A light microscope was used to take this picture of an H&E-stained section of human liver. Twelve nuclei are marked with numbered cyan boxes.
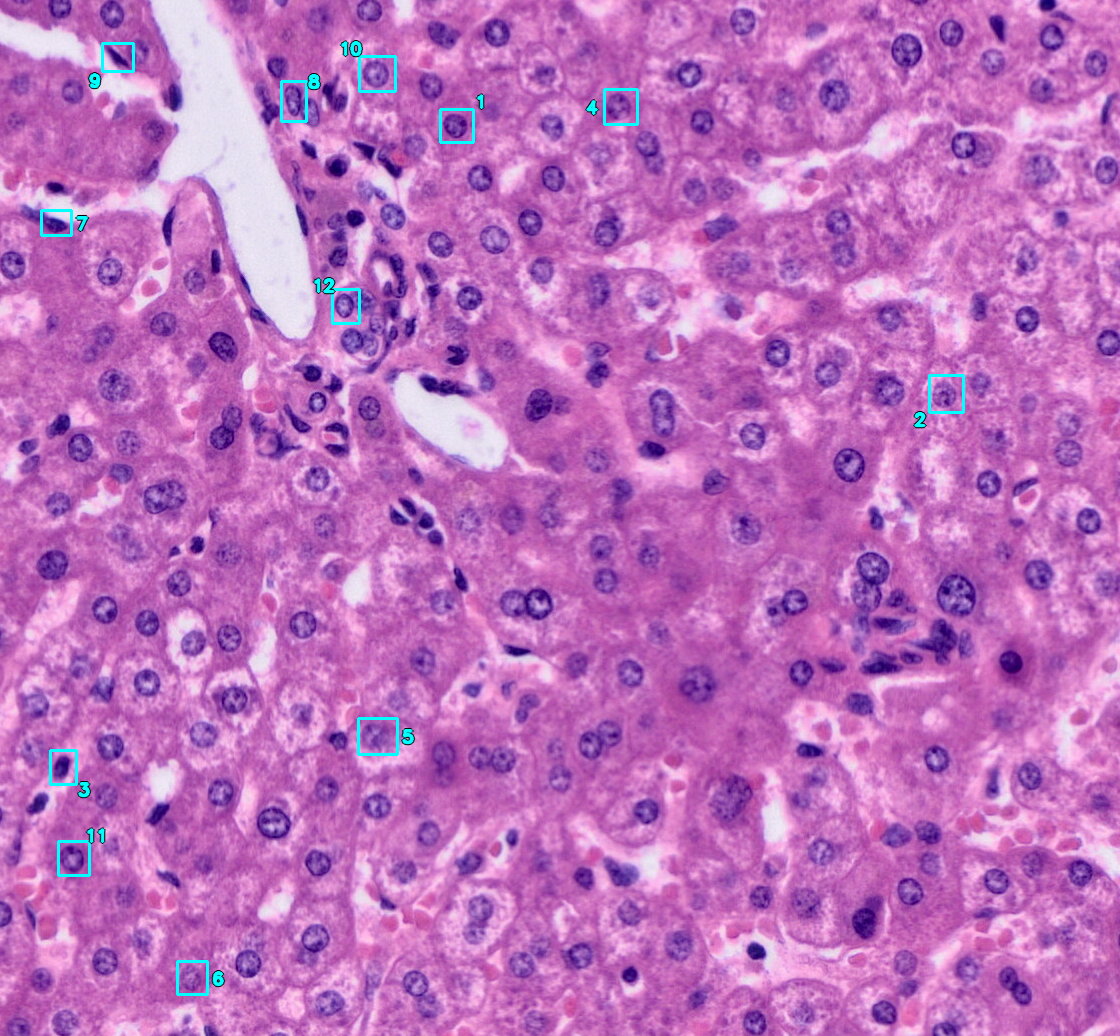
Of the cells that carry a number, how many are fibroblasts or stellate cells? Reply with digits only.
2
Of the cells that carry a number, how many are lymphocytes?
1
